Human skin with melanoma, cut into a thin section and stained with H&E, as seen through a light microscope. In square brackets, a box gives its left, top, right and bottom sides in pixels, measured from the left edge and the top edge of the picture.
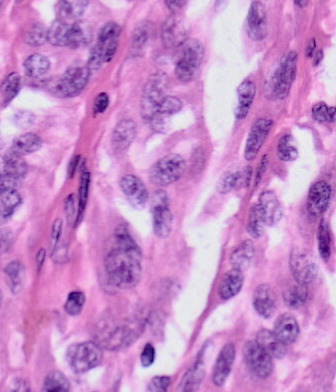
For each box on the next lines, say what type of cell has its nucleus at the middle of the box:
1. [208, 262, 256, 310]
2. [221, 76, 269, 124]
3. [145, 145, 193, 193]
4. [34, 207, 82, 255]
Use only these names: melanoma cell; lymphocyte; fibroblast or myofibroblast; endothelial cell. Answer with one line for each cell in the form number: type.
1: melanoma cell
2: melanoma cell
3: melanoma cell
4: endothelial cell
